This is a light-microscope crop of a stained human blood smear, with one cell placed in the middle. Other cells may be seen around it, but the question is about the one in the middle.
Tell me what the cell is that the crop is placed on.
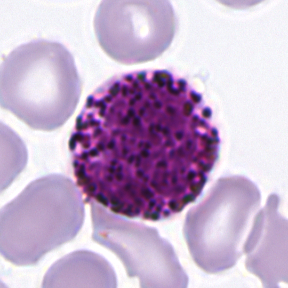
basophil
